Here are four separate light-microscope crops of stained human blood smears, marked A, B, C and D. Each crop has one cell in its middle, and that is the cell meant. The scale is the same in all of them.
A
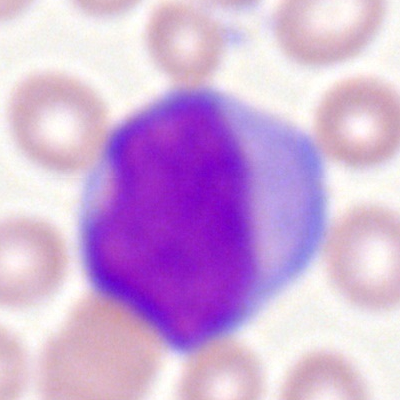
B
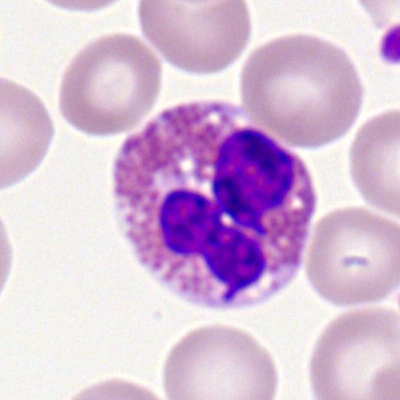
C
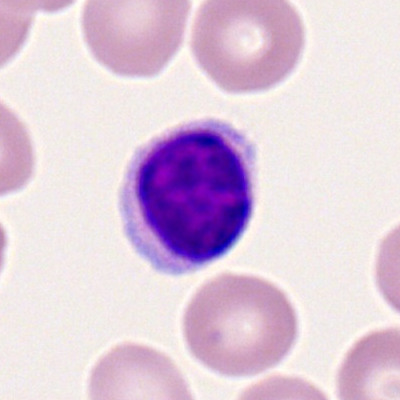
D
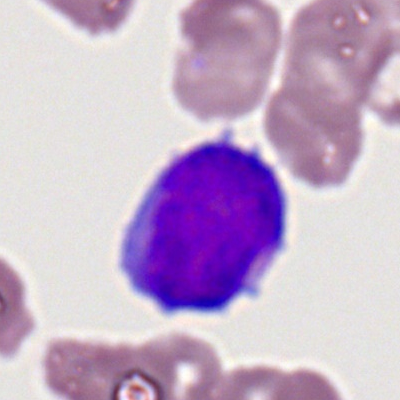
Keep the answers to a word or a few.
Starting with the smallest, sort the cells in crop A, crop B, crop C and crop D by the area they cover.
C, D, B, A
